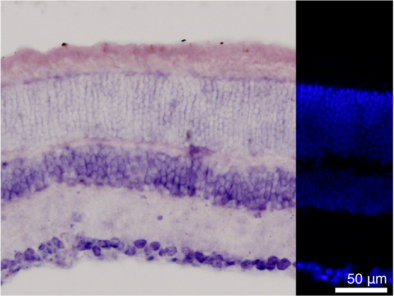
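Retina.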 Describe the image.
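Beneath a broad, pale inner plexiform layer, a single row of rounded cells in the ganglion cell layer is strongly purple. A narrow strip at the right edge shows the nuclear layers in blue.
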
